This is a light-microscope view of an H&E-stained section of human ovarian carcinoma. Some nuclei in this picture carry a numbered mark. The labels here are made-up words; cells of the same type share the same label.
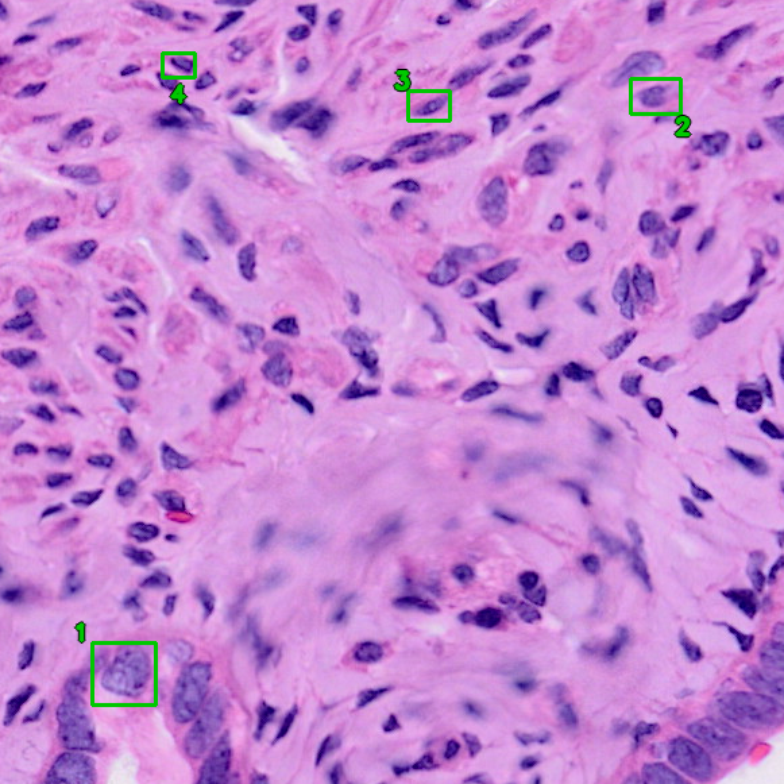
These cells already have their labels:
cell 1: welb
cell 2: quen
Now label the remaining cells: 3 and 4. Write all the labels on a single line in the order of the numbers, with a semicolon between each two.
quen; quen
